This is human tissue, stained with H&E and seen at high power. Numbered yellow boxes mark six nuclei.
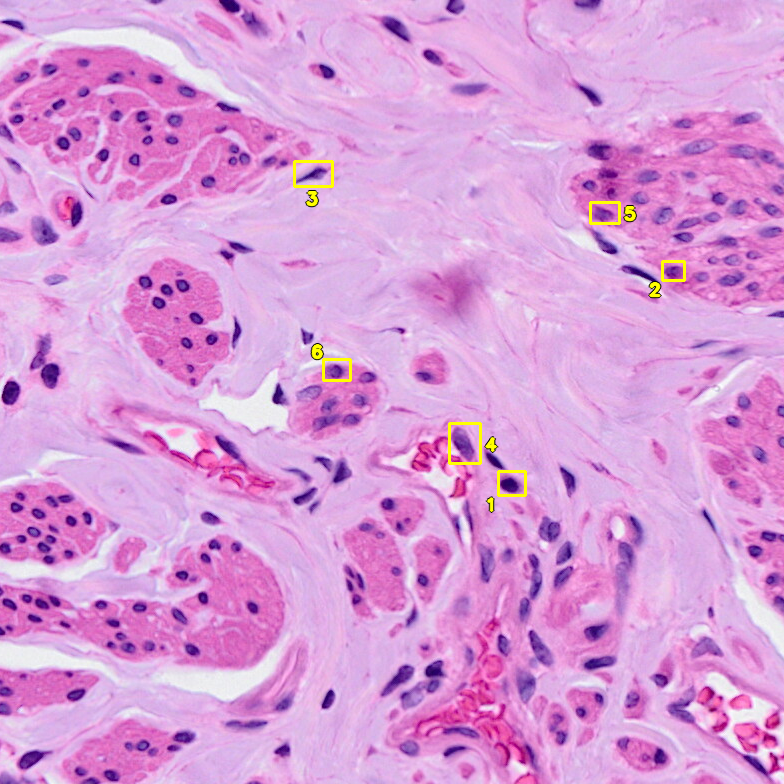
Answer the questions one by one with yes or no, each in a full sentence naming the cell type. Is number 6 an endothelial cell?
No, cell 6, which is a smooth muscle cell, is not an endothelial cell.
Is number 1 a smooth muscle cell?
No; cell 1 is a lymphocyte, not a smooth muscle cell.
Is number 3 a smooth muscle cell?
No, number 3 does not mark a smooth muscle cell; it marks a fibroblast.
